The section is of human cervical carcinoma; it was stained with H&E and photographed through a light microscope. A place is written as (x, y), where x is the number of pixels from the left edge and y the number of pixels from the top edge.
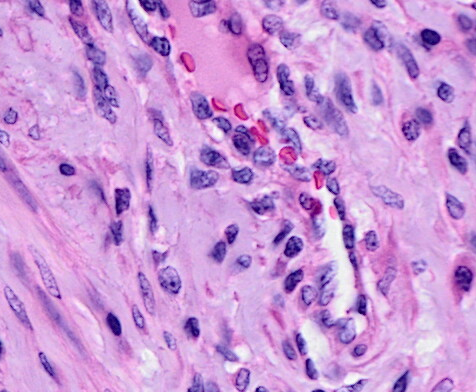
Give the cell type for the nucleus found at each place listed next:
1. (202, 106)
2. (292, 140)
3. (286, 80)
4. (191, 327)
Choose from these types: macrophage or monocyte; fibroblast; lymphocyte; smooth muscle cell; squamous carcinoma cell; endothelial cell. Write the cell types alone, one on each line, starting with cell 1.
endothelial cell
endothelial cell
lymphocyte
lymphocyte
